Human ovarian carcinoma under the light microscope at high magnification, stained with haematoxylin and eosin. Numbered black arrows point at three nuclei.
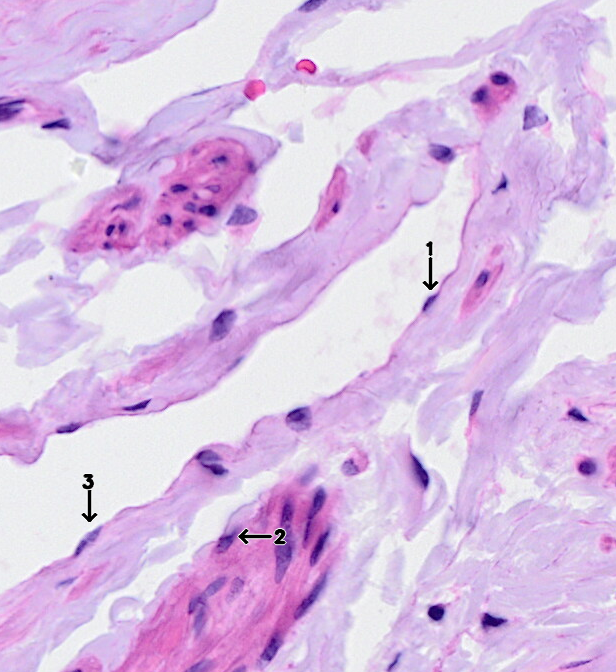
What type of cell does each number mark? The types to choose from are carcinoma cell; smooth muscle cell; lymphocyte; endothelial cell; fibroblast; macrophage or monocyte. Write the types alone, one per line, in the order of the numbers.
endothelial cell
smooth muscle cell
endothelial cell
